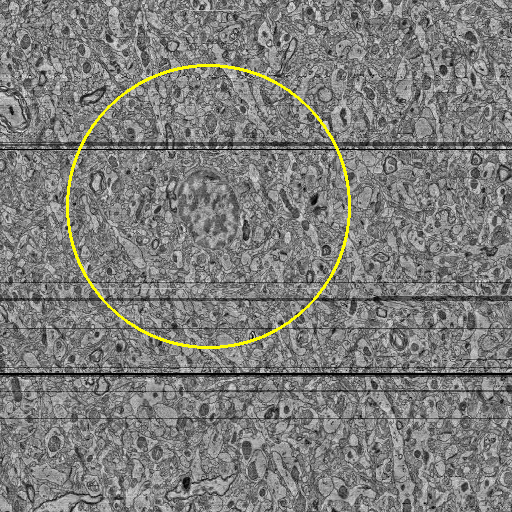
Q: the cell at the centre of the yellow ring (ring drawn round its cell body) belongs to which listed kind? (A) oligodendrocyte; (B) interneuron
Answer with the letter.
A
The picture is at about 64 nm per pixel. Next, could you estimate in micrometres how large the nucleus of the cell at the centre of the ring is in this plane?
The ringed cell's nucleus is about 5 micrometres long and 4 micrometres wide in this plane.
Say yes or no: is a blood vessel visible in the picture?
No.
